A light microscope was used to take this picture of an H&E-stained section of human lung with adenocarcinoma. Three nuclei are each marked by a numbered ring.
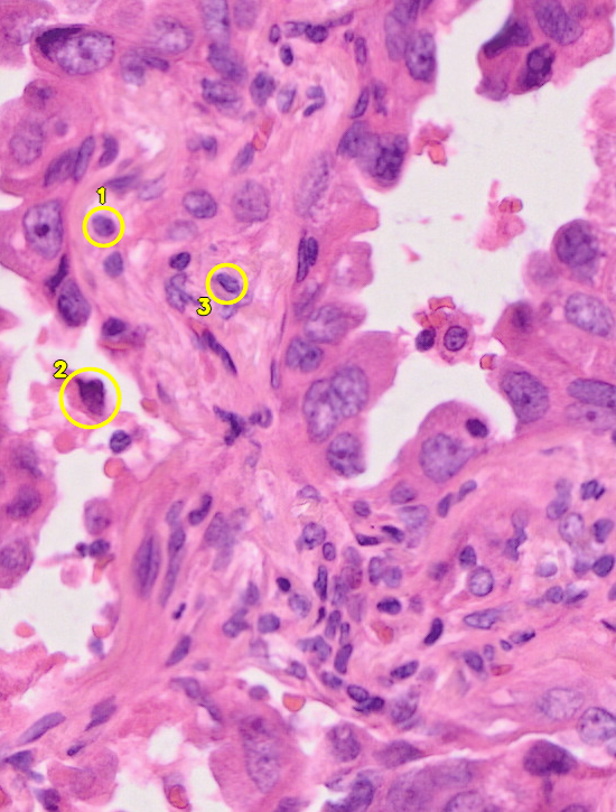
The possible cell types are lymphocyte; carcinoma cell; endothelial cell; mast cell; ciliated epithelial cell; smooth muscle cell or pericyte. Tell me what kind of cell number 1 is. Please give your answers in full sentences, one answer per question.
The numbered cell 1 in this field is a lymphocyte.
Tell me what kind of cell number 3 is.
The nucleus marked 3 is the nucleus of a lymphocyte.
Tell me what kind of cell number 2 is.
Cell 2 should be recorded as a carcinoma cell.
